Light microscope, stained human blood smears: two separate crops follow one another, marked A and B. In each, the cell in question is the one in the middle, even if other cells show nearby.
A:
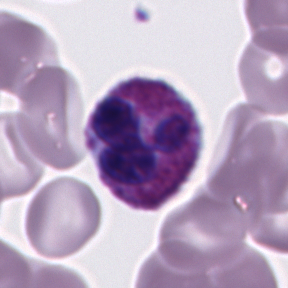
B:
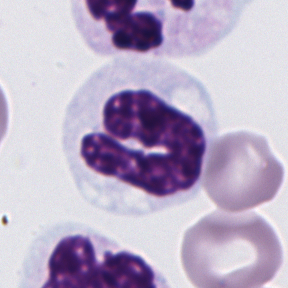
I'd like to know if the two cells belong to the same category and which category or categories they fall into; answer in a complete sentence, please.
No, crop A corresponds to an eosinophil, while crop B corresponds to a band neutrophil.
